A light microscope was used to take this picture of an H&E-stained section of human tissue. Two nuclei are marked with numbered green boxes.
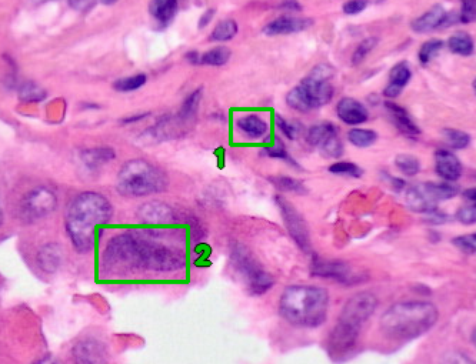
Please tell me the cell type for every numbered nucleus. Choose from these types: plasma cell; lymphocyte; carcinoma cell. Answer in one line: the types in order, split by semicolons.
lymphocyte; carcinoma cell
